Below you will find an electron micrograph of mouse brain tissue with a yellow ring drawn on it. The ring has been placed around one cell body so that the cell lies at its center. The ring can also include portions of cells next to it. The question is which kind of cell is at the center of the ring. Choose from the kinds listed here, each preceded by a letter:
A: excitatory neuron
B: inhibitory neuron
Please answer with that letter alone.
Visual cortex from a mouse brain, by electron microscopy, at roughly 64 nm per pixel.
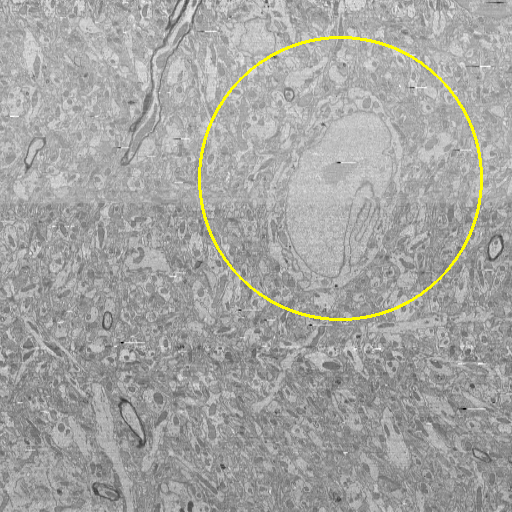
B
